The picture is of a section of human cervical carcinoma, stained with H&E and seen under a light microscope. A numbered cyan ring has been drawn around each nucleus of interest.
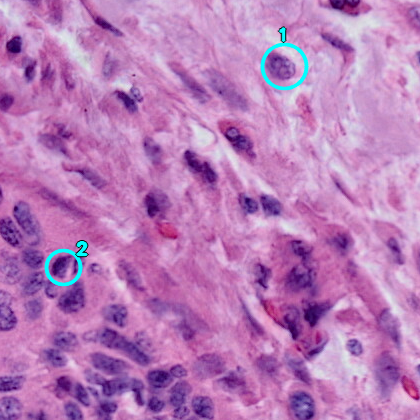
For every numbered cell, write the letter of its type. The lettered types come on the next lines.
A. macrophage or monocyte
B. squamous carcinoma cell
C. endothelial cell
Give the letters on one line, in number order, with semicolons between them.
A; B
